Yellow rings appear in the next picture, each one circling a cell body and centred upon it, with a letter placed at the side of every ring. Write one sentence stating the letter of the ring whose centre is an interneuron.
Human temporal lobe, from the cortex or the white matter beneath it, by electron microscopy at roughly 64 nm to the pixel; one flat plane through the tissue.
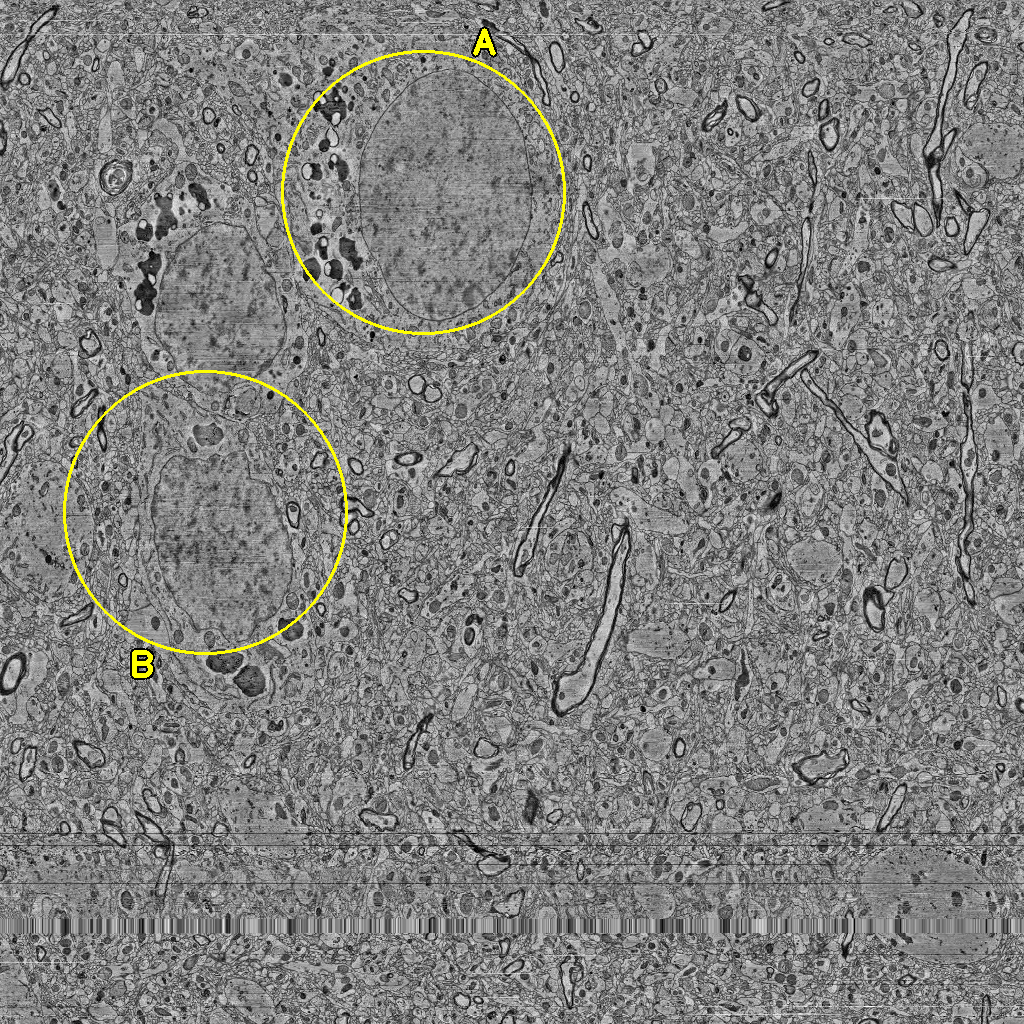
In the picture, the cell asked for lies at the centre of ring B.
